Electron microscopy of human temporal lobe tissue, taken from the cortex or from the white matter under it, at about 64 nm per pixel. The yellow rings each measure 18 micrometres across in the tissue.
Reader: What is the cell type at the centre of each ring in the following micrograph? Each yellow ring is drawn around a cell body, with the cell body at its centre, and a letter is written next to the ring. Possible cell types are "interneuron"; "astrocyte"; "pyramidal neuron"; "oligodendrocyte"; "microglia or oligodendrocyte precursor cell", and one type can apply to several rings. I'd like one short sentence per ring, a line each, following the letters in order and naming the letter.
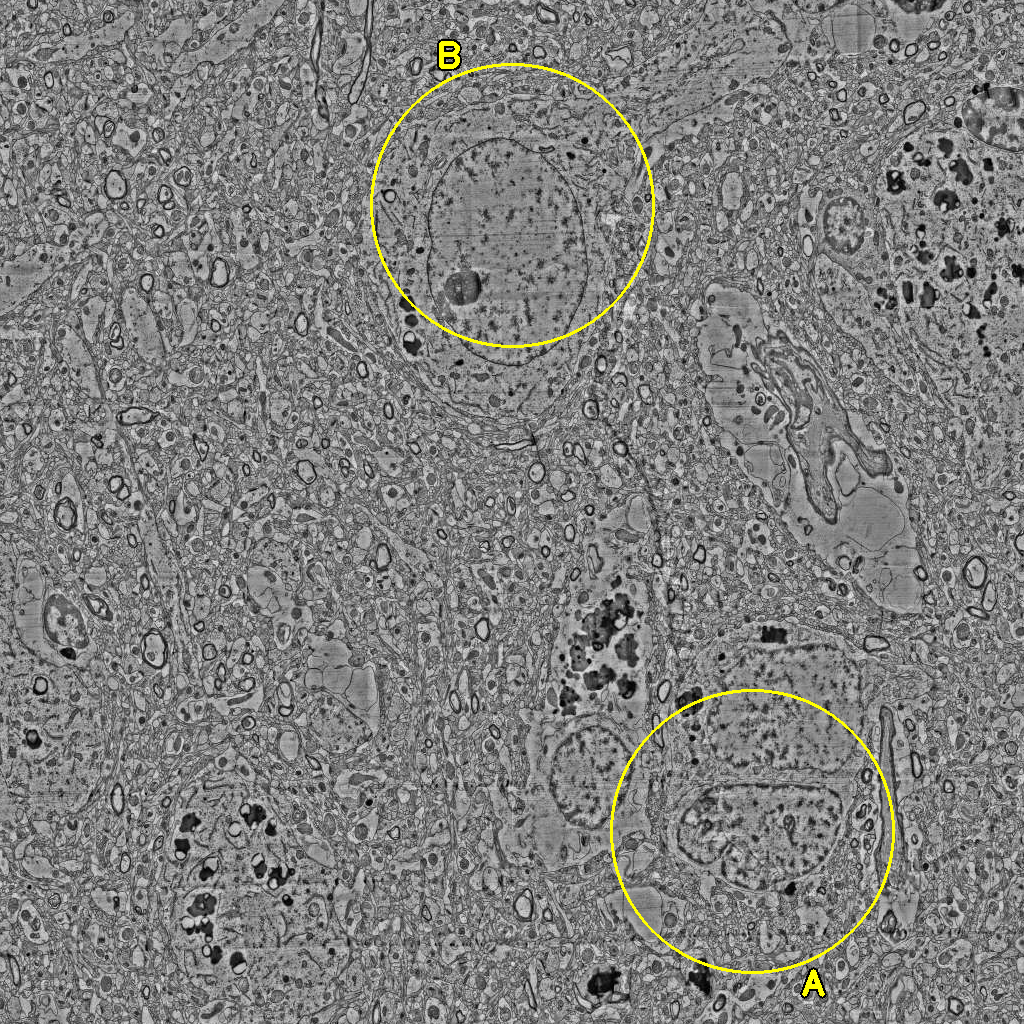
The cell body at the centre of ring A is that of a microglial cell or oligodendrocyte precursor cell.
The cell body at the centre of ring B is that of a pyramidal neuron.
